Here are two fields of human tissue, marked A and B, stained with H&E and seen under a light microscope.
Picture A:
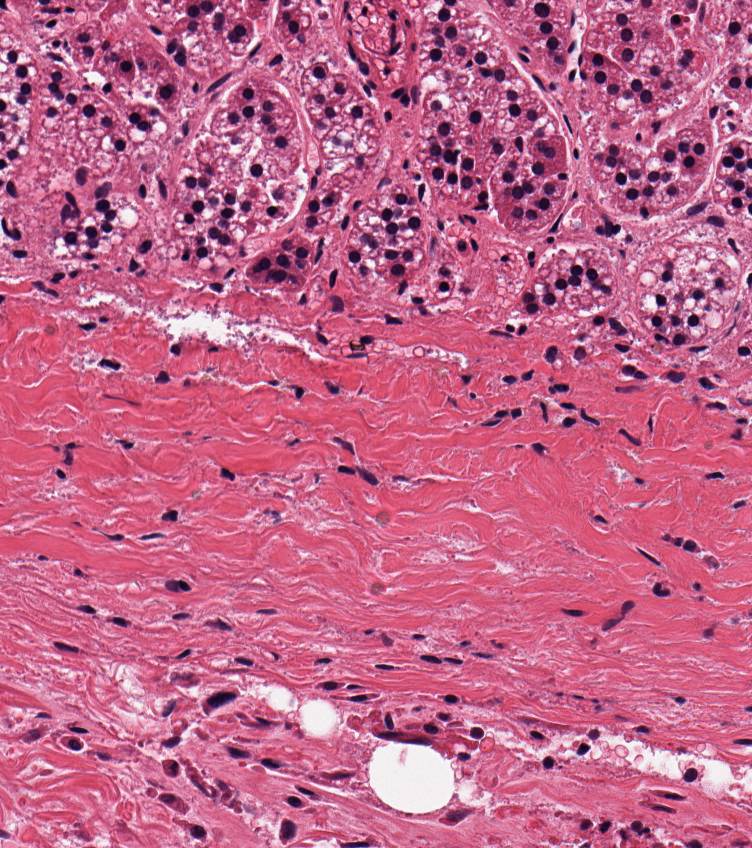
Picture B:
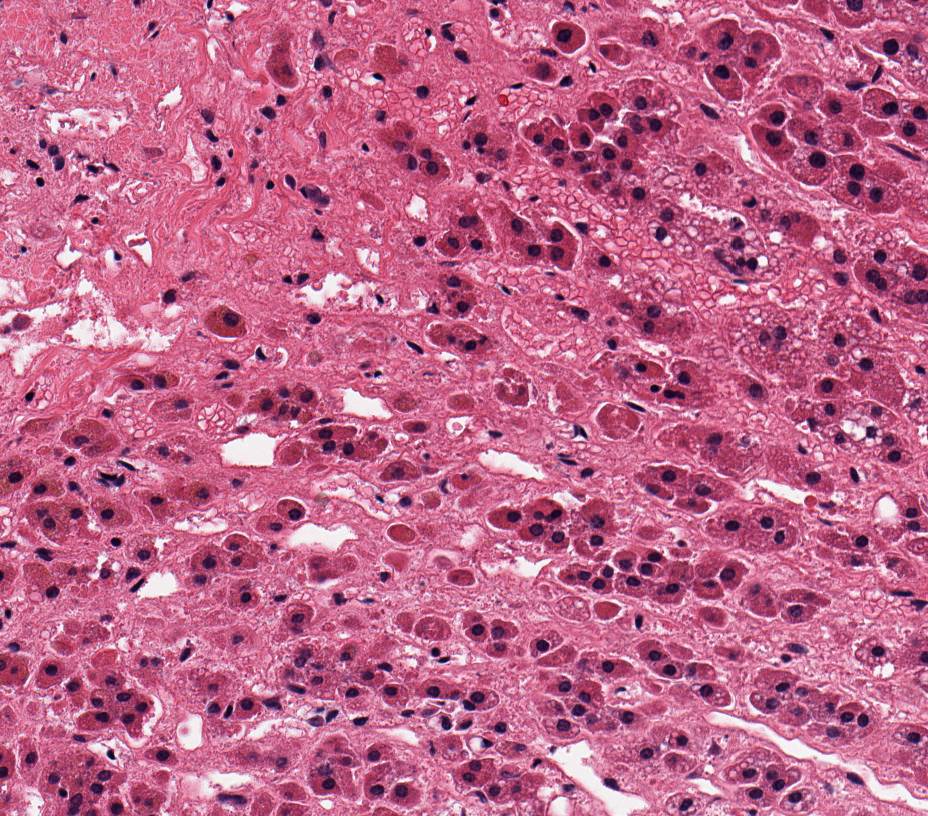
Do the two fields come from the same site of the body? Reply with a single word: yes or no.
yes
